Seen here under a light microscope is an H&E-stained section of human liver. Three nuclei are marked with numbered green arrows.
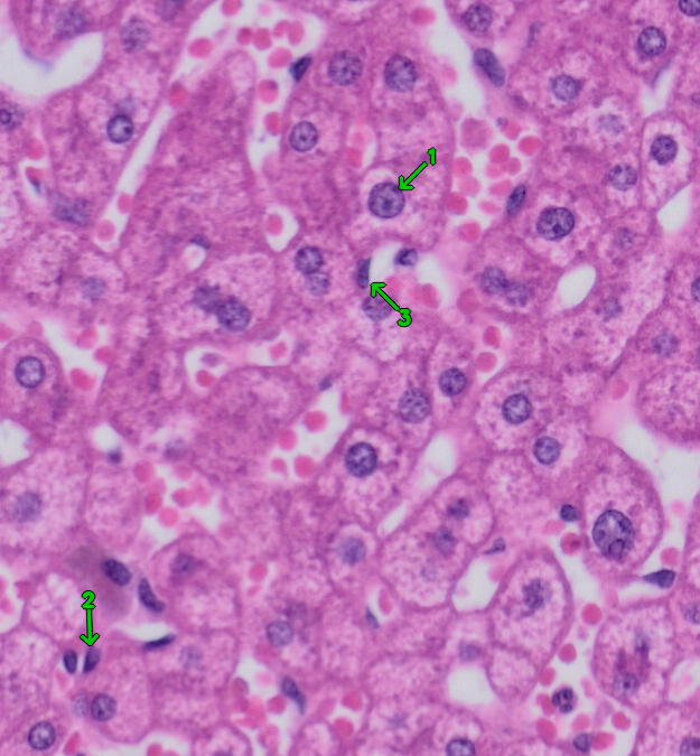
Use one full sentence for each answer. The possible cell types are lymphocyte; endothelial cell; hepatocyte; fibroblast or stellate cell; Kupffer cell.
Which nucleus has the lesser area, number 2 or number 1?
Number 2 is smaller, since number 1 takes up about 3 times as much area.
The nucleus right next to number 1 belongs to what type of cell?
Closest to number 1 lies the nucleus of a Kupffer cell.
